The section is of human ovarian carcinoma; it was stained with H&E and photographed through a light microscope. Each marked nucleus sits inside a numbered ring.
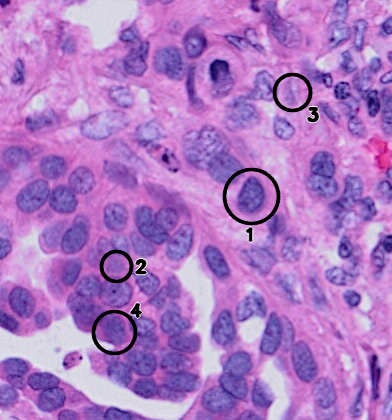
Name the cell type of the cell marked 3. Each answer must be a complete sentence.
Belonging to a fibroblast is the nucleus that carries the number 3.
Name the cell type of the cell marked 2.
The cell marked with number 2 is a carcinoma cell.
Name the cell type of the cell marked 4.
The cell with the number 4 is a carcinoma cell.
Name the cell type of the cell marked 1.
The cell assigned the number 1 is a carcinoma cell.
